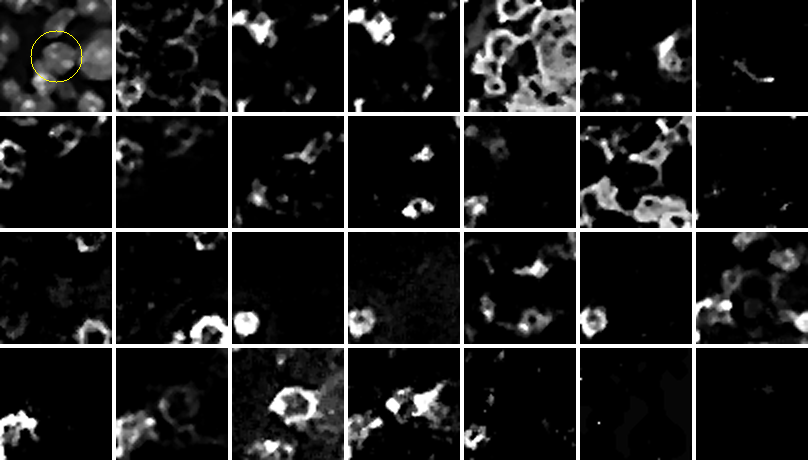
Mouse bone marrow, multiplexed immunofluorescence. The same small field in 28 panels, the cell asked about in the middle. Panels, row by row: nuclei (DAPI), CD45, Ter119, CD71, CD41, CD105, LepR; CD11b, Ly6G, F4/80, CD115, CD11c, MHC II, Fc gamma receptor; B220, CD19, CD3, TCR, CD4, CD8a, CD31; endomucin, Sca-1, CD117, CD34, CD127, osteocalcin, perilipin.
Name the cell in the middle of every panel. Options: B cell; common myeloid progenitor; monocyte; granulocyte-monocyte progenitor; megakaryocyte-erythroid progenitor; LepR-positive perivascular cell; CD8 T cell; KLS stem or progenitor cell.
common myeloid progenitor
